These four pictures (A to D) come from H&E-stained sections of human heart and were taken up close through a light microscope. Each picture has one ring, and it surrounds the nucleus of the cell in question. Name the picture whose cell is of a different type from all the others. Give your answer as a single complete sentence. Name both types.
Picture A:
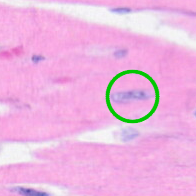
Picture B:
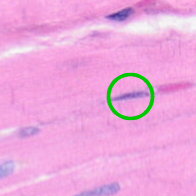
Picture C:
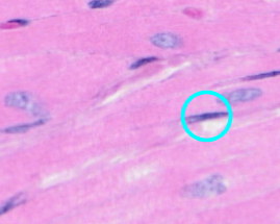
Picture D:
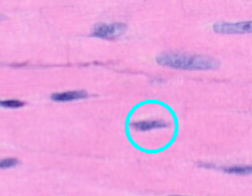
The different one is picture A; it shows a cardiomyocyte, whereas all the others show endothelial cells.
